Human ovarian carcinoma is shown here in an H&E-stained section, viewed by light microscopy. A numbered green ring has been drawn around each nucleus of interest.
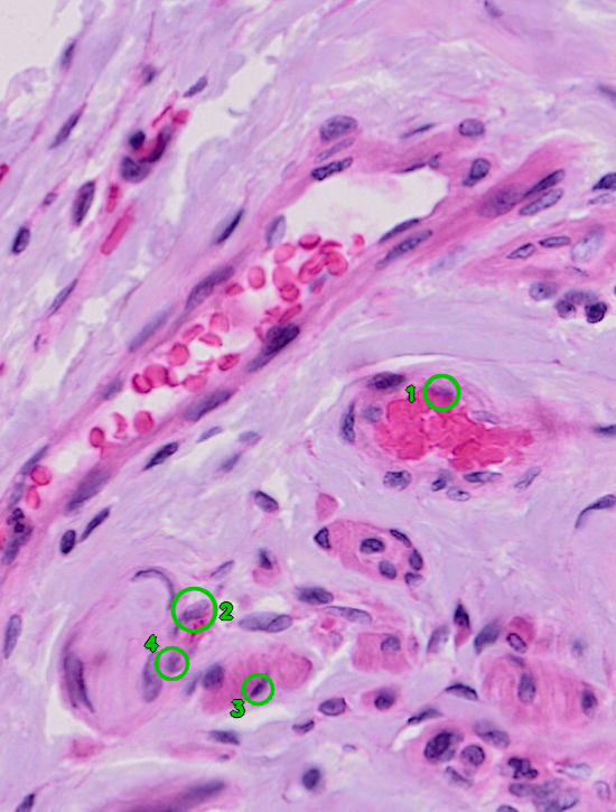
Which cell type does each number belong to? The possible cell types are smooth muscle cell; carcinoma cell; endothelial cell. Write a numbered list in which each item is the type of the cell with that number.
1. endothelial cell
2. endothelial cell
3. smooth muscle cell
4. endothelial cell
